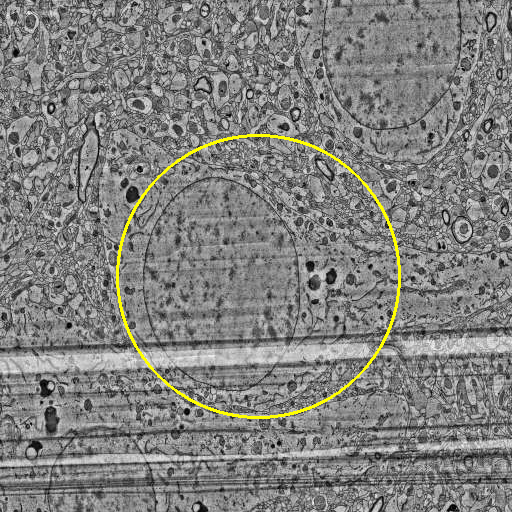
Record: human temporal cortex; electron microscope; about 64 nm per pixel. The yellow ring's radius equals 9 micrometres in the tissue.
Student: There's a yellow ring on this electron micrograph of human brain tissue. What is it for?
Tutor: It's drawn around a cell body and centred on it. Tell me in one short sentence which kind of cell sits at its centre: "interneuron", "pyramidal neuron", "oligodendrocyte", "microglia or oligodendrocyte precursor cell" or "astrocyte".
The cell at the centre of the ring is a pyramidal neuron.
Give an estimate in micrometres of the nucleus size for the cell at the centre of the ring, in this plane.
The nucleus appears roughly 14 by 10 micrometres in this plane.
